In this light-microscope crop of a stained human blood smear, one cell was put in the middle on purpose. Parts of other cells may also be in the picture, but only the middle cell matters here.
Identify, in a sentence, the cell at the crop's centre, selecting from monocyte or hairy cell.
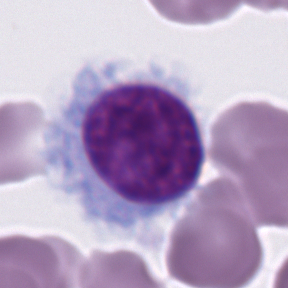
For this crop, the central cell is a hairy cell.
